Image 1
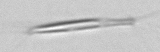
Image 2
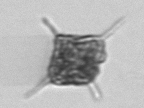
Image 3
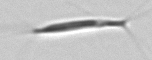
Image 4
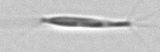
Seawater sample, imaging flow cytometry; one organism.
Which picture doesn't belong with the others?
Picture 2.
